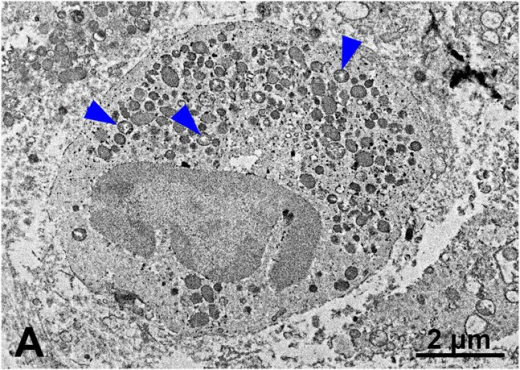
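A large neutrophil lies in the soft tissue, its nucleus lobed and placed toward one side of the cell. The rest of the cytoplasm is filled with numerous round, dense granules of varying size.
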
